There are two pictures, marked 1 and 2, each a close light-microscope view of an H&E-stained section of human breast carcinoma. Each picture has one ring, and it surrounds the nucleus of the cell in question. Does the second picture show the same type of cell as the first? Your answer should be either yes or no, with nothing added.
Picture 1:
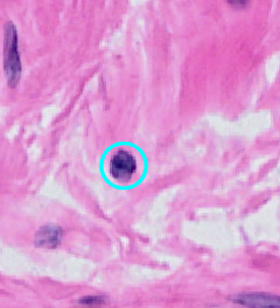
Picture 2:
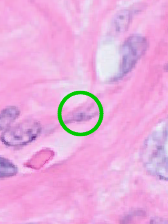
no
